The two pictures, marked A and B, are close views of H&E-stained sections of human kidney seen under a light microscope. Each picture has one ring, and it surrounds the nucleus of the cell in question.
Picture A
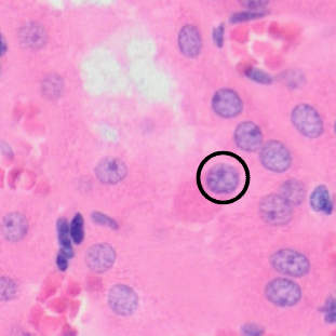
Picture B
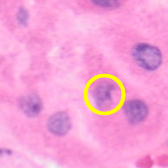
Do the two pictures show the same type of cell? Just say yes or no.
yes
